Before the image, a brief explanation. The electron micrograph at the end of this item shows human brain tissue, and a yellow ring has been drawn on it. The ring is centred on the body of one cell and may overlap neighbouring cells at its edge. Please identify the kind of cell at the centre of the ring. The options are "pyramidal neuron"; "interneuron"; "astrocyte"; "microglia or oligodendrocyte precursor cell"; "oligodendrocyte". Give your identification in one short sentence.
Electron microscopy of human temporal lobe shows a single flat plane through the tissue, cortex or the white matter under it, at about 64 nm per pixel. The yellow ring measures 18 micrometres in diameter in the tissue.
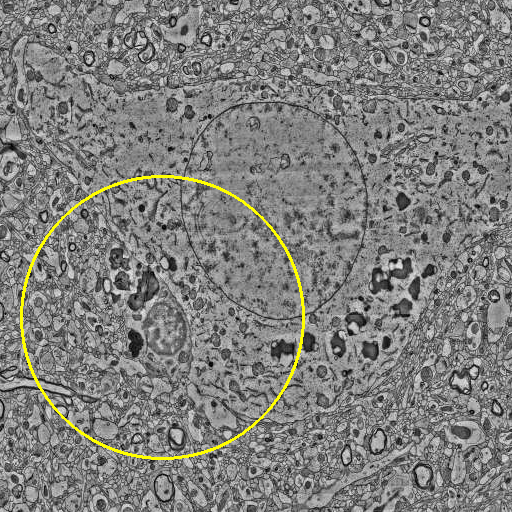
The ring has been placed around an oligodendrocyte.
